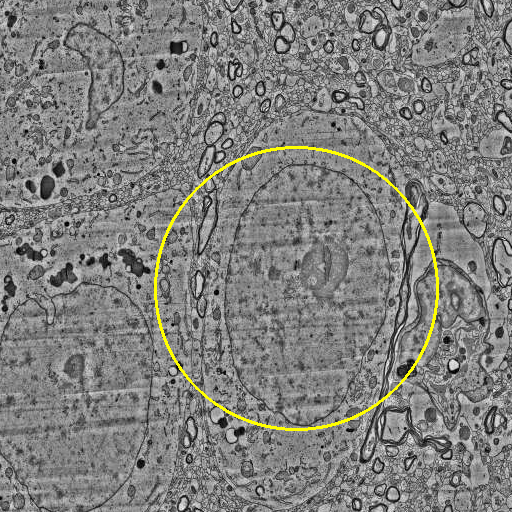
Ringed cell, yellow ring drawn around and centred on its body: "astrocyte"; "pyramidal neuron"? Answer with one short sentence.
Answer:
This ringed cell is a pyramidal neuron.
